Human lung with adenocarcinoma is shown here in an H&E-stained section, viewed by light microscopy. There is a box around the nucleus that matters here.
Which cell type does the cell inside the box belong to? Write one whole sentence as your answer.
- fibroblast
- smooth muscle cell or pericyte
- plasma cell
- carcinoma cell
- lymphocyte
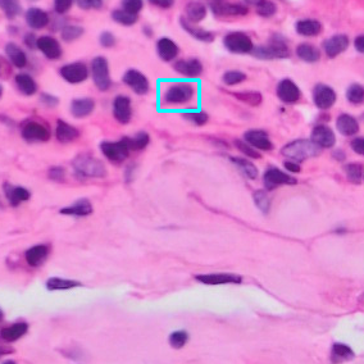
It is as a lymphocyte that the cell inside the box is recorded.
